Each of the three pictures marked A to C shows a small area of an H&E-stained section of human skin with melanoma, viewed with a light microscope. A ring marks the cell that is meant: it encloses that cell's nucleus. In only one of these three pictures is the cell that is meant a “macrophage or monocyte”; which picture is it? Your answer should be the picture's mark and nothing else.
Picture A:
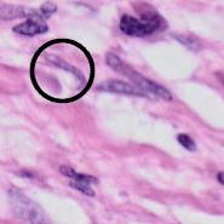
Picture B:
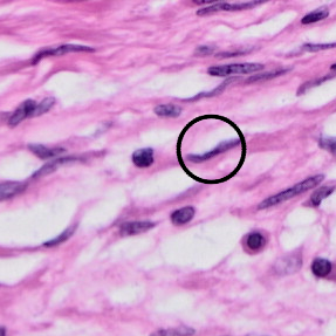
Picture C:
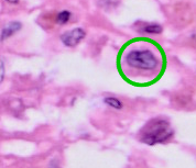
C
